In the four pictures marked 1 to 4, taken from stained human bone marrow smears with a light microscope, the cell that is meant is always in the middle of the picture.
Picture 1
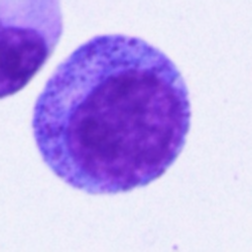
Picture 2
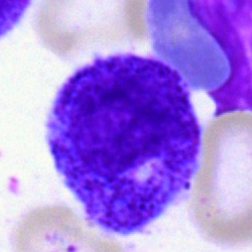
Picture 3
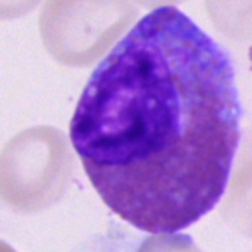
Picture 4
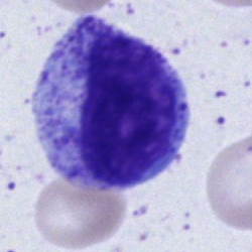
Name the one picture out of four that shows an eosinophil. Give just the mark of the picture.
3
